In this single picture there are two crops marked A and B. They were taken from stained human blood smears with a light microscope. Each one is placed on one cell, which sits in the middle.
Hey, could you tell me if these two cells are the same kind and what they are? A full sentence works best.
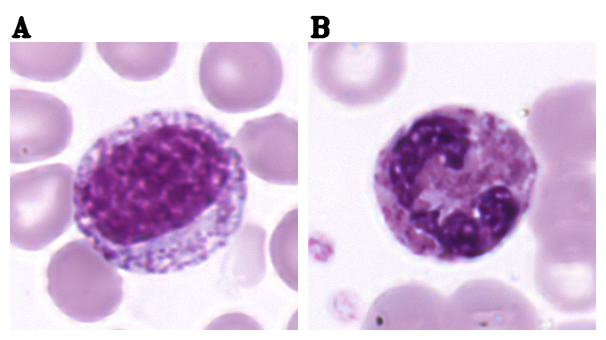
No, crop A shows a myelocyte, and it is crop B that shows an eosinophil.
